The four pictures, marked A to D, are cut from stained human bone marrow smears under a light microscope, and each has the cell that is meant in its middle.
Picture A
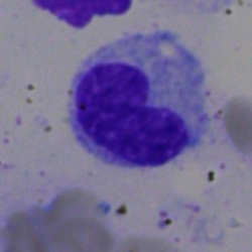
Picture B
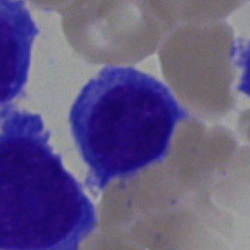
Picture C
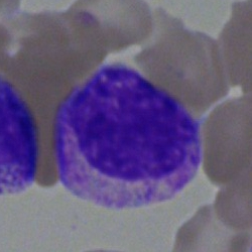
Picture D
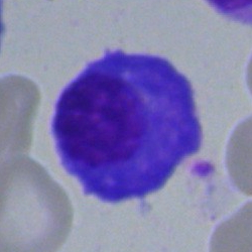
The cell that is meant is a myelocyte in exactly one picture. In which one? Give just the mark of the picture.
C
